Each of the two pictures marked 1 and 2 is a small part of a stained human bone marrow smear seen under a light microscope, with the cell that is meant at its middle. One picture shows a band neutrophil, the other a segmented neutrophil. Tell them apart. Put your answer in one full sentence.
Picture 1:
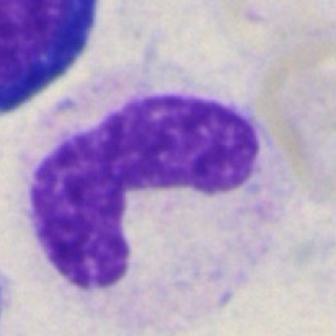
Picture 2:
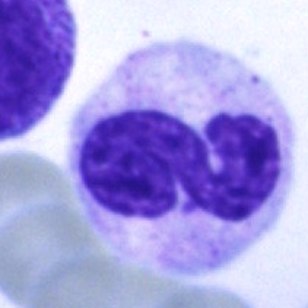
Picture 2 shows a segmented neutrophil, while picture 1 shows a band neutrophil.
